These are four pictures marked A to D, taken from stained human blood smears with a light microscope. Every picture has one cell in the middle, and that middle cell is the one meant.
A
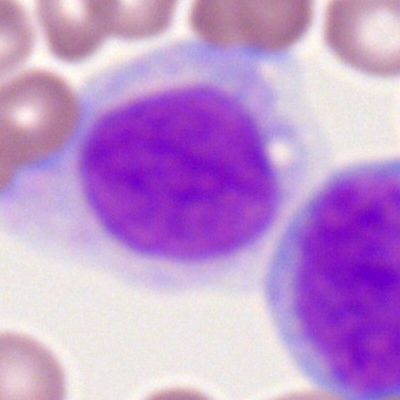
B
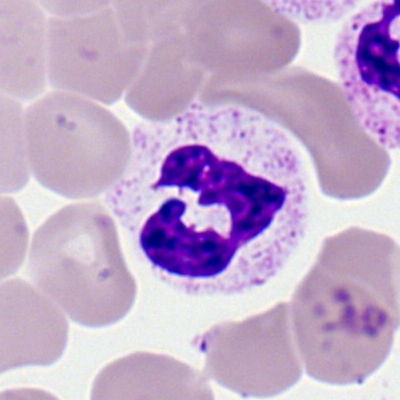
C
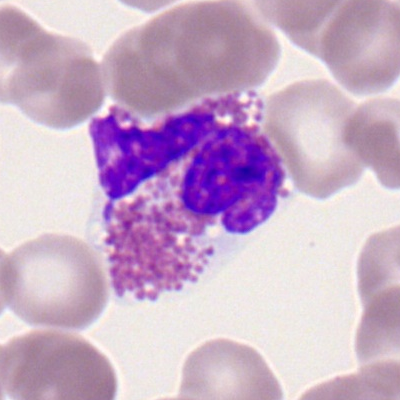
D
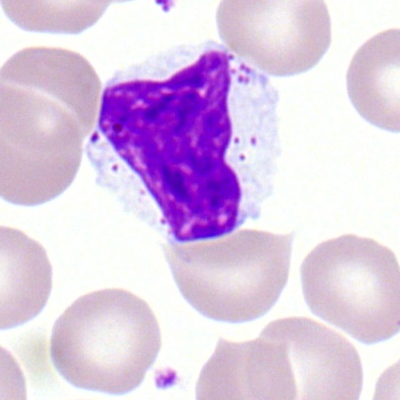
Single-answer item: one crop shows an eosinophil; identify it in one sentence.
Crop C is the one to choose: it shows an eosinophil.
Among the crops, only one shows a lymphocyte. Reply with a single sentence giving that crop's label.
When the crops are compared, crop D is the one showing a lymphocyte.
